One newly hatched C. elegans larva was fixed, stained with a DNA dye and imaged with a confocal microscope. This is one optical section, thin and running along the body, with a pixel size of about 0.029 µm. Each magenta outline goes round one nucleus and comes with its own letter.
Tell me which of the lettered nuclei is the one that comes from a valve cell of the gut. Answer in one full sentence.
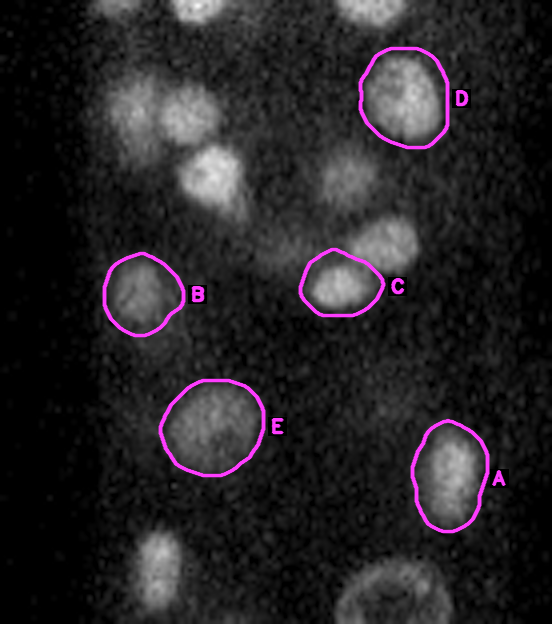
Nucleus C belongs to a valve cell of the gut.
